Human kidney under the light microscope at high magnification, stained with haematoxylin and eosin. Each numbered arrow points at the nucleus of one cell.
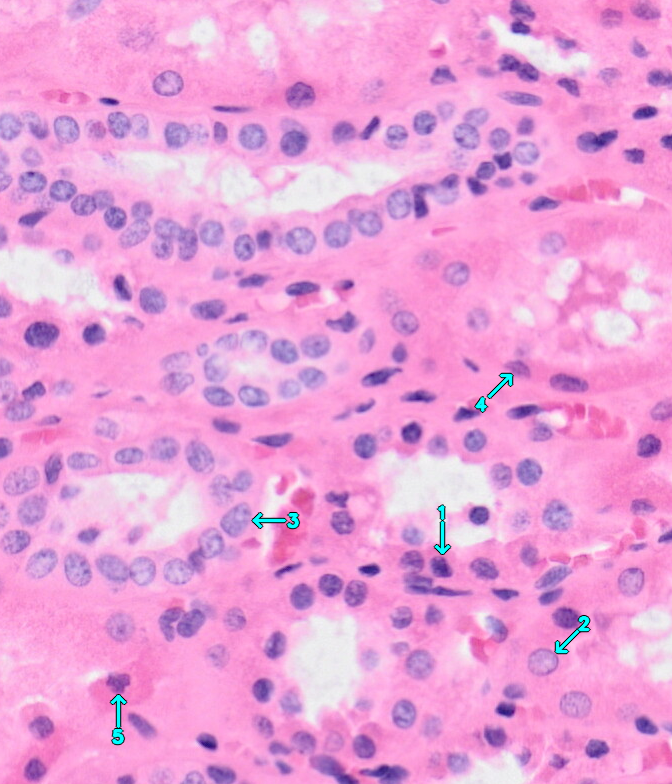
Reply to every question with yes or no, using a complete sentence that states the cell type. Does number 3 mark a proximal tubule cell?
No, the cell numbered 3 is a collecting duct cell rather than a proximal tubule cell.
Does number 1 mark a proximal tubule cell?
No, with respect, cell 1 is a loop of Henle or distal tubule cell rather than a proximal tubule cell.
